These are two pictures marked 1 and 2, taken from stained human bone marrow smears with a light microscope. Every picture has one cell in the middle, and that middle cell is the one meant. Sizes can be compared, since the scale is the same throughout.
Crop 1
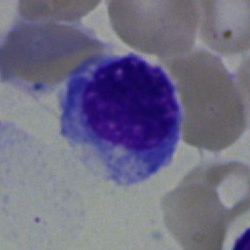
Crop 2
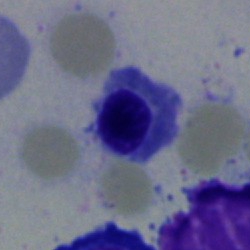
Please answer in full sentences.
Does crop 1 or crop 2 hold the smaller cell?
It is the cell in crop 2; the cell in crop 1 has about 2 times its area.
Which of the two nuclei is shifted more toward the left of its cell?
In crop 2 the nucleus is shifted more toward the left.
